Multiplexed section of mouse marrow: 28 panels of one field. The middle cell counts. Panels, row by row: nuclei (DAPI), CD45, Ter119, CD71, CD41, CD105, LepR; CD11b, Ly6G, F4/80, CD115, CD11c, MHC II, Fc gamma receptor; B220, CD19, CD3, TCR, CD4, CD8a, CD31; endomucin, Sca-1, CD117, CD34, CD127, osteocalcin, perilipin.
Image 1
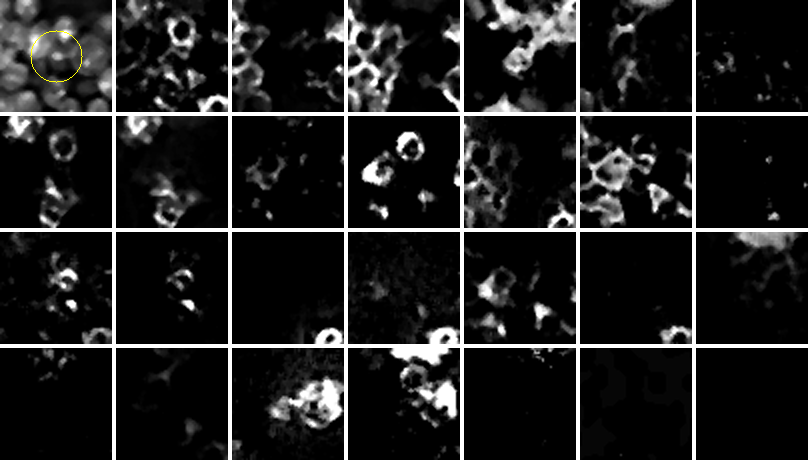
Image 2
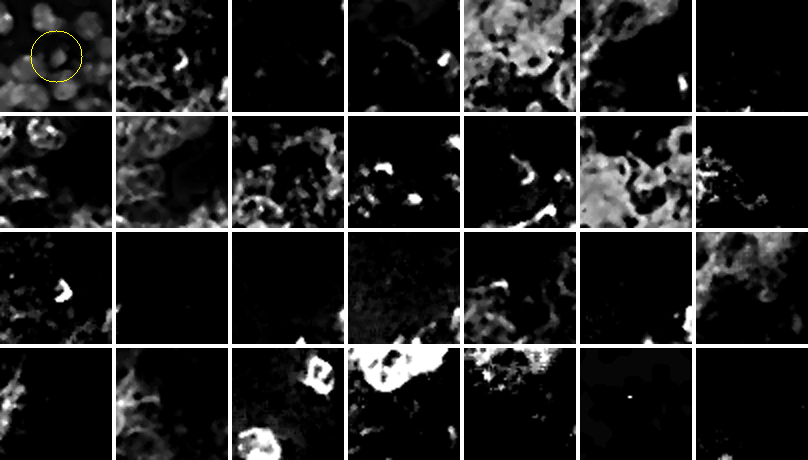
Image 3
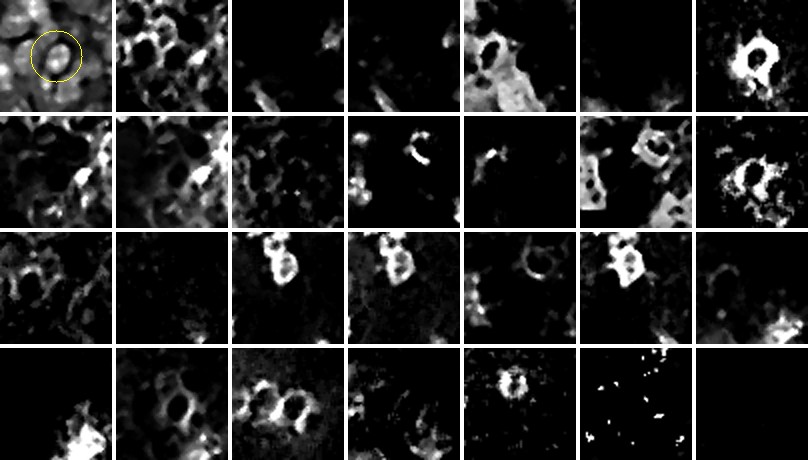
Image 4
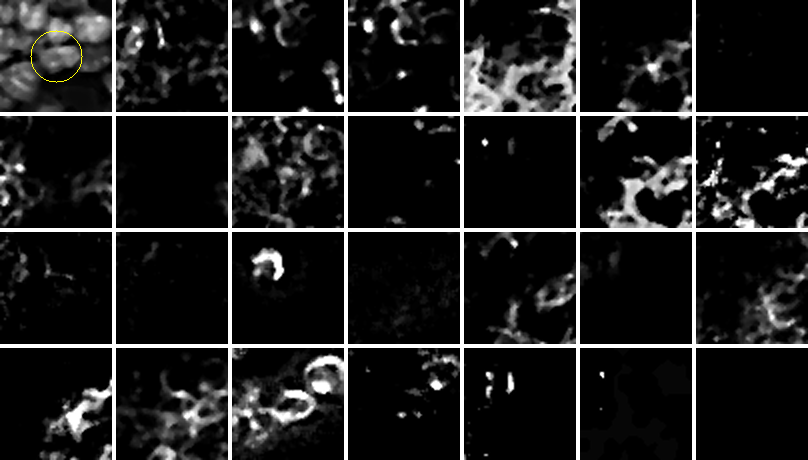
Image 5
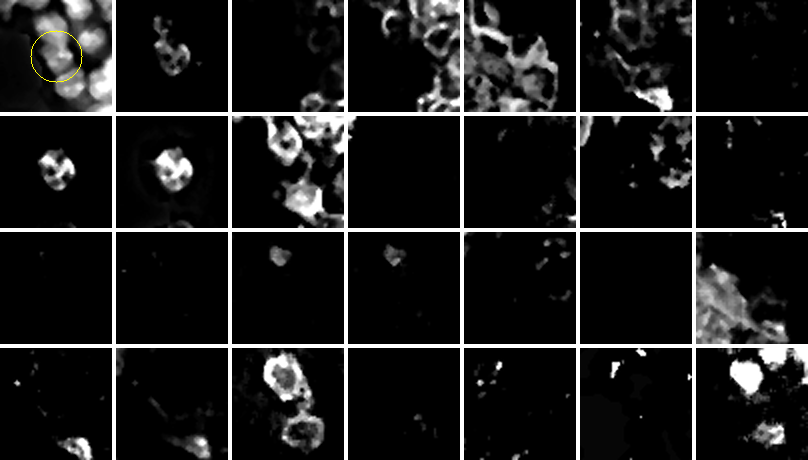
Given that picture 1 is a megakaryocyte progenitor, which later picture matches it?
5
